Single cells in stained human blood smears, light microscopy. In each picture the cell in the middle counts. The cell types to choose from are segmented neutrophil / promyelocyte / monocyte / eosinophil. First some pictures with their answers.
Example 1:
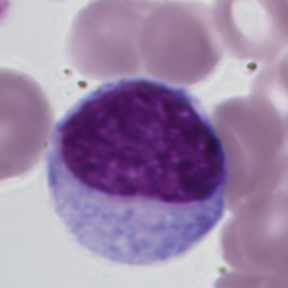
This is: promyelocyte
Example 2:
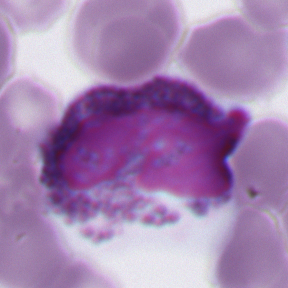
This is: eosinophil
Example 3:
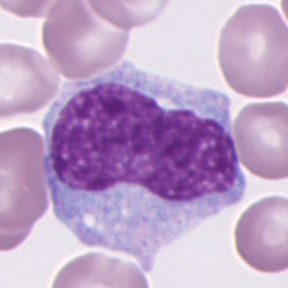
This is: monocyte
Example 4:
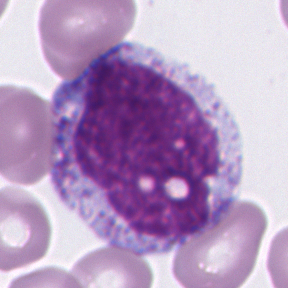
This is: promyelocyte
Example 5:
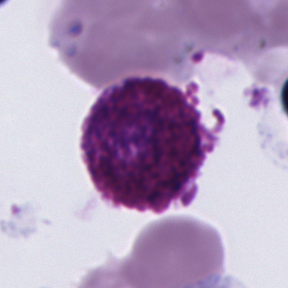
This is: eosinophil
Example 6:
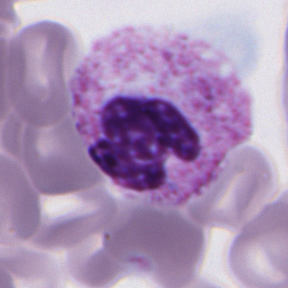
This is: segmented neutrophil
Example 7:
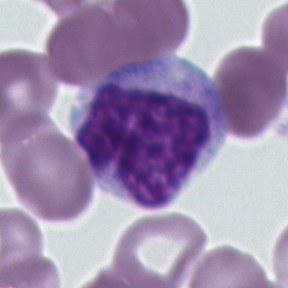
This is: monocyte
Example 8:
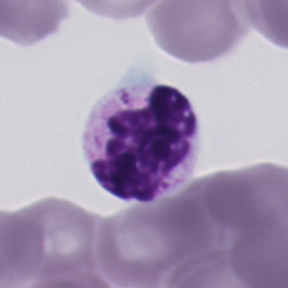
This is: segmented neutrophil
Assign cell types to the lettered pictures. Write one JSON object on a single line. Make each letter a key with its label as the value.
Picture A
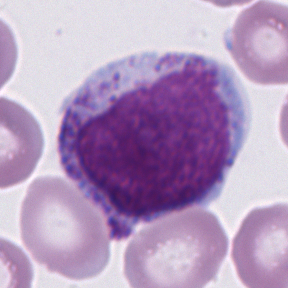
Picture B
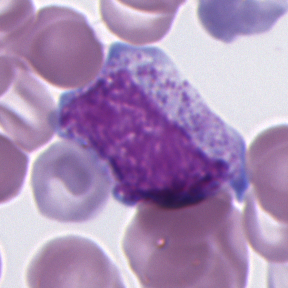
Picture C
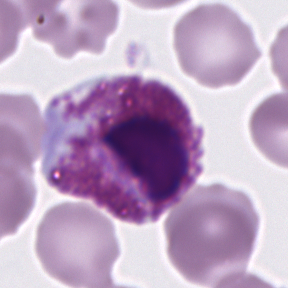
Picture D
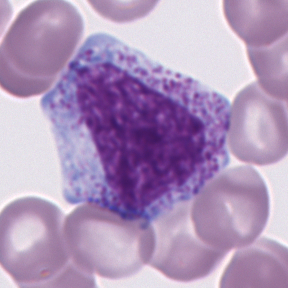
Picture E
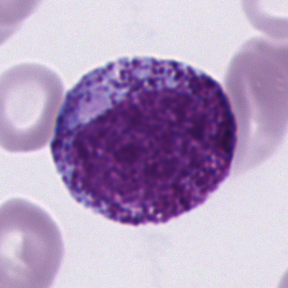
{"A": "promyelocyte", "B": "promyelocyte", "C": "eosinophil", "D": "promyelocyte", "E": "promyelocyte"}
